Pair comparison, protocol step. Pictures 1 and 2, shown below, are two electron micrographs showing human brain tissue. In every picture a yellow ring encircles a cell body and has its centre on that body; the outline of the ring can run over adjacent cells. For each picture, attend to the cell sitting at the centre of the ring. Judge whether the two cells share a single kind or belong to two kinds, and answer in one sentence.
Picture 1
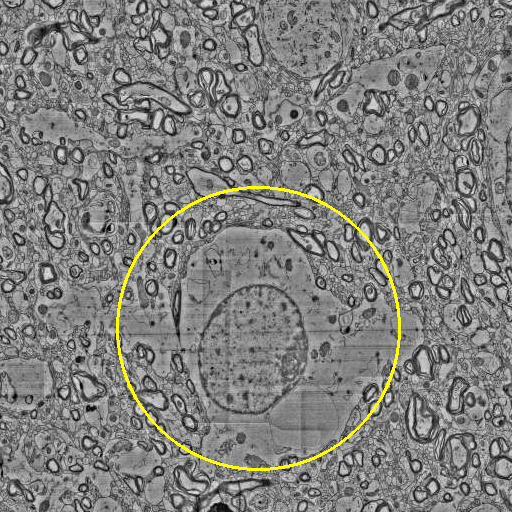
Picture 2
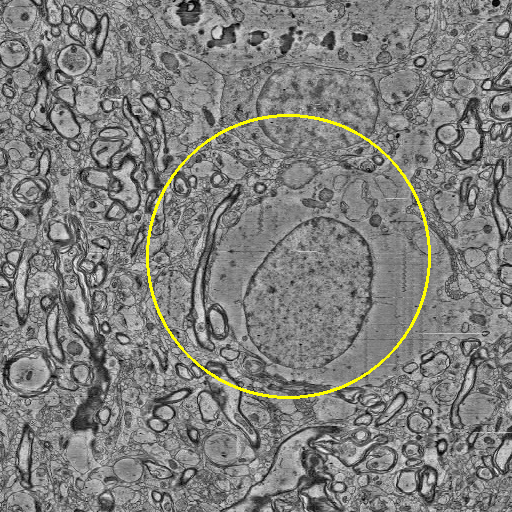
The two cells at the ring centres in Picture 1 and Picture 2 share a single kind.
